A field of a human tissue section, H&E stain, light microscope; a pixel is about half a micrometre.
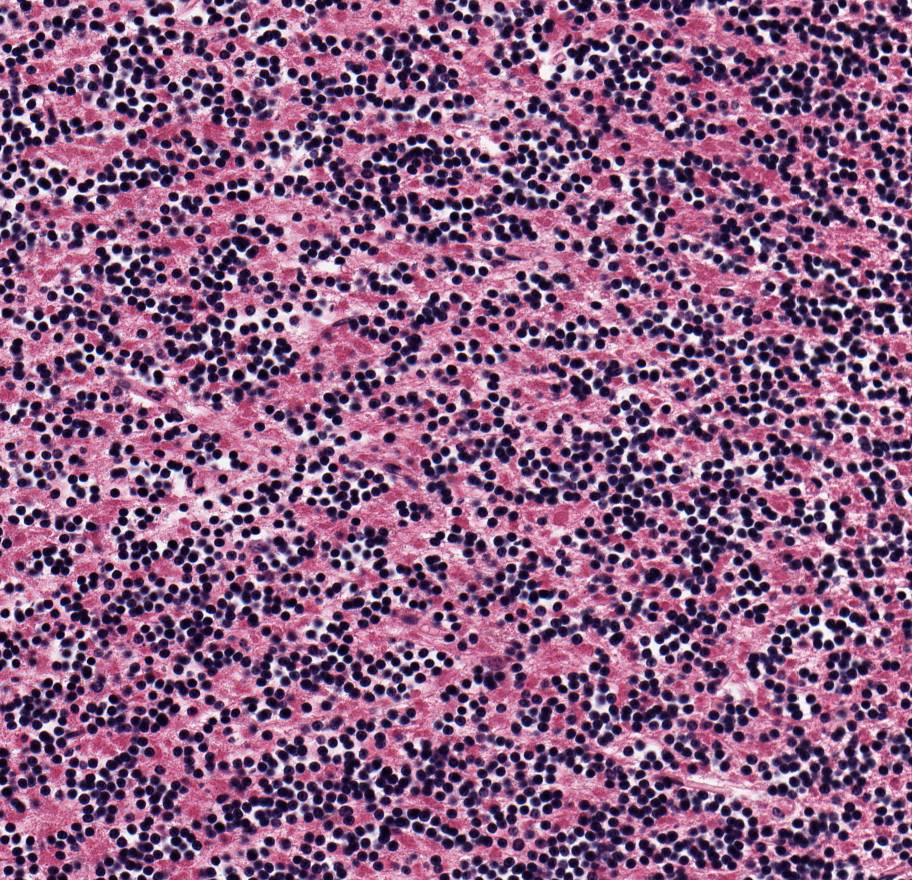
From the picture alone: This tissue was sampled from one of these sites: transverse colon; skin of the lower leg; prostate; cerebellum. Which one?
cerebellum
